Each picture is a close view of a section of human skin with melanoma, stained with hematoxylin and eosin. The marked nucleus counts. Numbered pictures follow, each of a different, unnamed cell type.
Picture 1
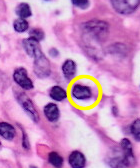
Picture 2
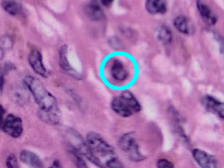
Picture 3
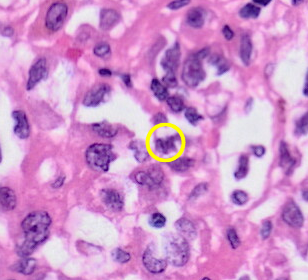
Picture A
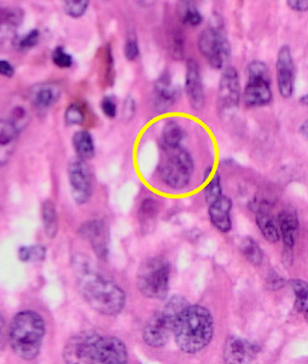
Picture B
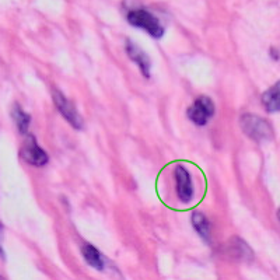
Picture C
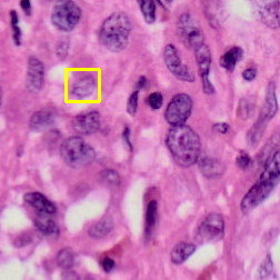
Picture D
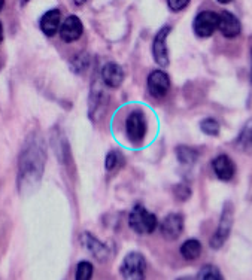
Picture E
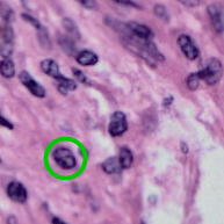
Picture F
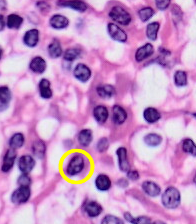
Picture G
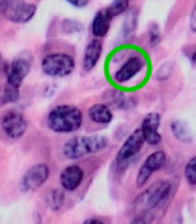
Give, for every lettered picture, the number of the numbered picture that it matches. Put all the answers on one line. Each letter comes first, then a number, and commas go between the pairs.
A 3, B 1, C 3, D 2, E 2, F 2, G 2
